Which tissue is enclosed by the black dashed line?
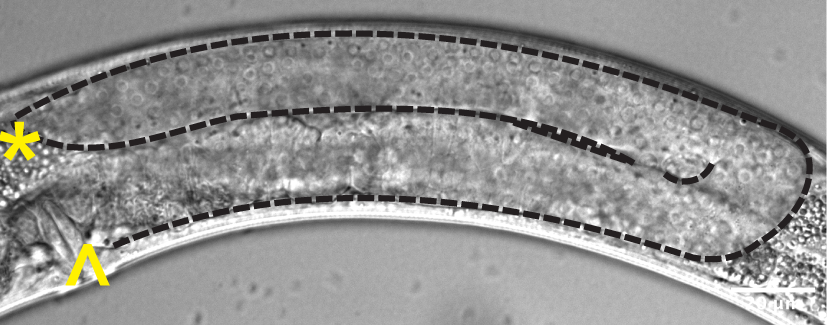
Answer: gonads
